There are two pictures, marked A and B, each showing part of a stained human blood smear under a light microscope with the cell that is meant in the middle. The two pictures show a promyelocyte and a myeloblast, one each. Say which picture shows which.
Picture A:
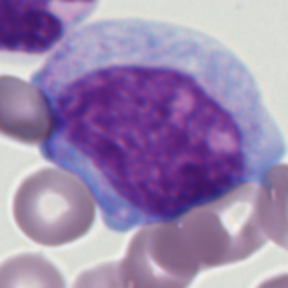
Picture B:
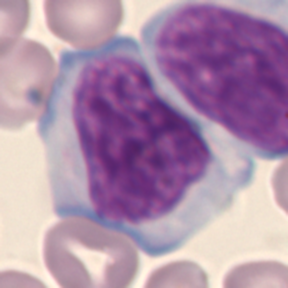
A: promyelocyte
B: myeloblast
